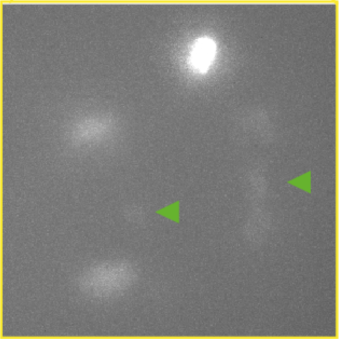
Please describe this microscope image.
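At the top a small, very bright, compact spot stands out, much brighter than the rest. Below it, on the left, two hazy oval masses of chromosomes lie one above the other, well apart; on the right a second, fainter pair is arranged the same way. Between the right-hand groups and near the middle, small faint wisps of DNA lie apart from the main masses. The two side-by-side pairs of separating chromosome groups suggest two spindles in anaphase at once, with lagging chromosomes left between the groups.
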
